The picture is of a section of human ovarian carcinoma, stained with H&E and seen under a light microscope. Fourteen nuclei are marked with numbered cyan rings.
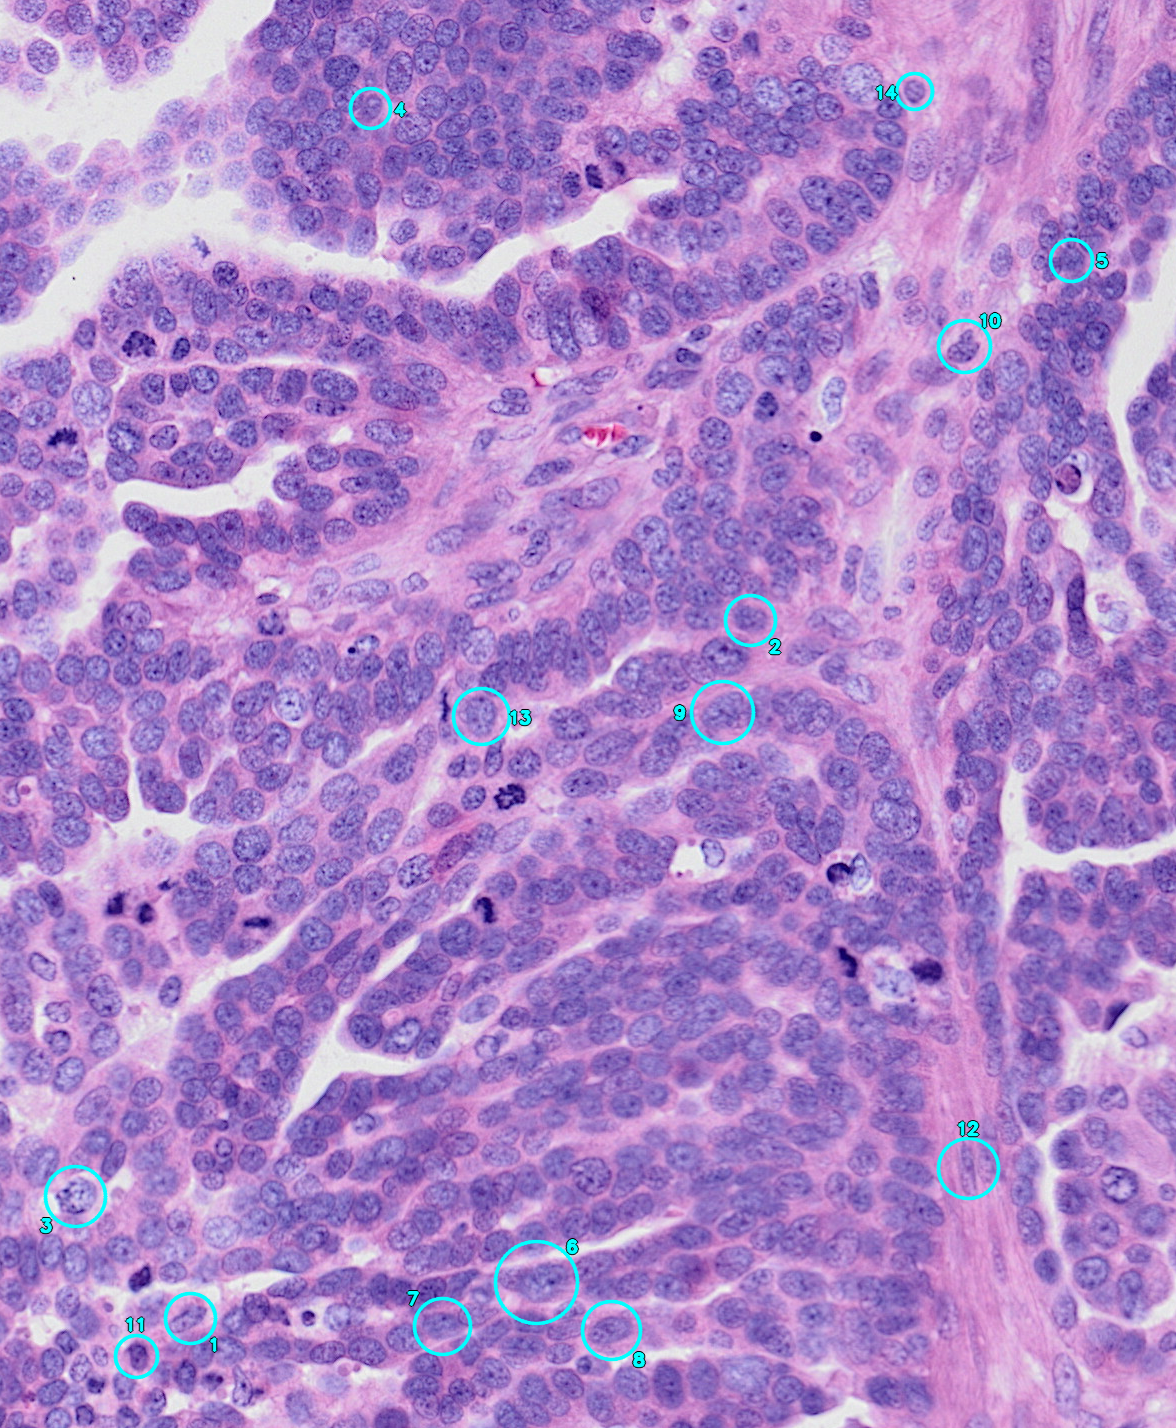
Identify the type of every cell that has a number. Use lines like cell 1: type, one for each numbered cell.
cell 1: macrophage or monocyte
cell 2: carcinoma cell
cell 3: macrophage or monocyte
cell 4: carcinoma cell
cell 5: carcinoma cell
cell 6: carcinoma cell
cell 7: carcinoma cell
cell 8: carcinoma cell
cell 9: carcinoma cell
cell 10: macrophage or monocyte
cell 11: macrophage or monocyte
cell 12: fibroblast
cell 13: carcinoma cell
cell 14: macrophage or monocyte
